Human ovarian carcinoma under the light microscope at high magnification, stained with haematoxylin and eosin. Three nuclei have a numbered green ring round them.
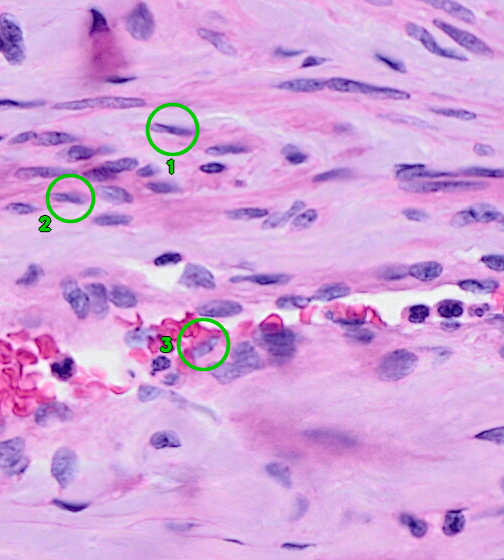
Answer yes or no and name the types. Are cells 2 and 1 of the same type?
Yes, both are smooth muscle cells.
